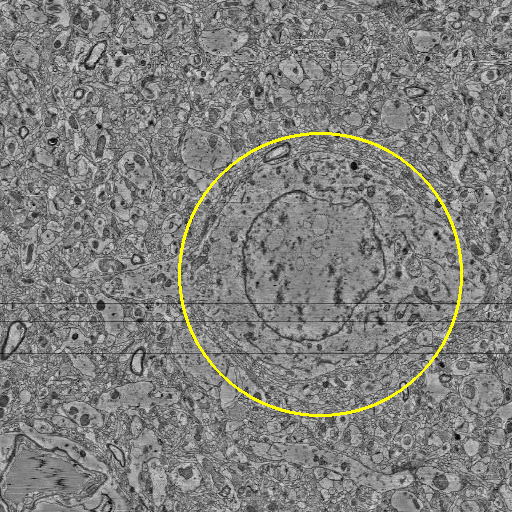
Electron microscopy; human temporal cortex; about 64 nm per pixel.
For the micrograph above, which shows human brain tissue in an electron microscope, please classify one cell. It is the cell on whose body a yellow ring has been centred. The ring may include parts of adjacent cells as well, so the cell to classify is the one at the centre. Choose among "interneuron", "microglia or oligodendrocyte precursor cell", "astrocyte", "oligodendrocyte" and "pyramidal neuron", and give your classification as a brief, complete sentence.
I classify this cell as a pyramidal neuron.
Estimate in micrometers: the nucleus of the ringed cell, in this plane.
Roughly 10 micrometres across for the nucleus, in this plane.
